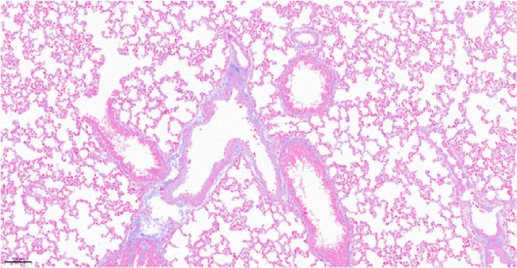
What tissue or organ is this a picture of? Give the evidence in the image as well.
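Branching tubular airways lined by a continuous pink epithelium. The airways are surrounded by thin-walled alveolar spaces.
Hence: bronchioles.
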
